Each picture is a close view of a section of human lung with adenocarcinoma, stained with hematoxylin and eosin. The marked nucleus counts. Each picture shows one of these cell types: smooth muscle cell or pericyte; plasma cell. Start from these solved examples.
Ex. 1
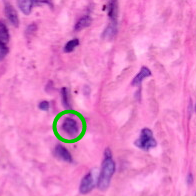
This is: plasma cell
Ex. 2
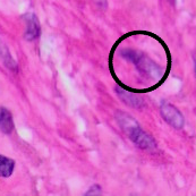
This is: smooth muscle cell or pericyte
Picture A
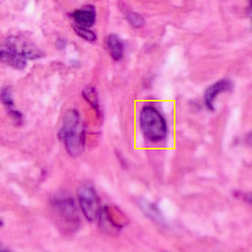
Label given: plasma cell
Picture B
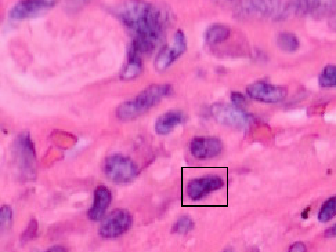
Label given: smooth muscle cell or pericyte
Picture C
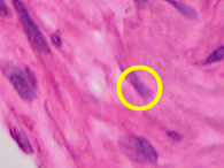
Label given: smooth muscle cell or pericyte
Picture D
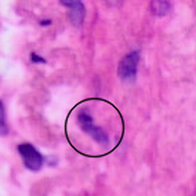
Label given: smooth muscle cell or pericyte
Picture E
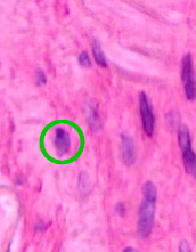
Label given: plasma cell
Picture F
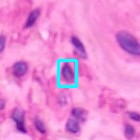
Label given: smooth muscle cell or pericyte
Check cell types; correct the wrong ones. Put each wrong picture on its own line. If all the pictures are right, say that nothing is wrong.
B: not smooth muscle cell or pericyte but plasma cell
E: not plasma cell but smooth muscle cell or pericyte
